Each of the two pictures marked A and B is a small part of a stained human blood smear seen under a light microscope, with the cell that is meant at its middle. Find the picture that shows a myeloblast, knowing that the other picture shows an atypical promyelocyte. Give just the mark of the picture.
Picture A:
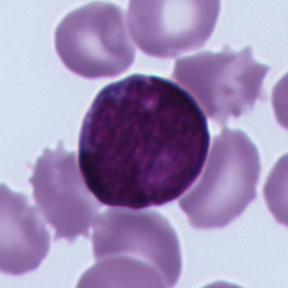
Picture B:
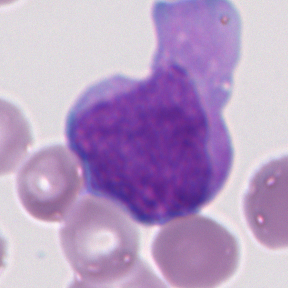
A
